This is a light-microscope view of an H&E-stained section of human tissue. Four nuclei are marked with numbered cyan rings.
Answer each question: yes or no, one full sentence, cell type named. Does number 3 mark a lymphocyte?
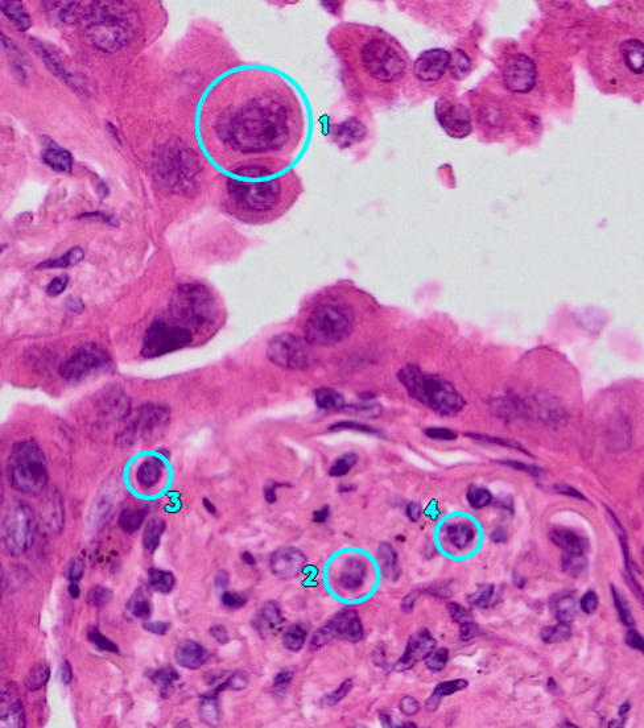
Yes, that one, number 3, is a lymphocyte.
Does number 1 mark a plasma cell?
No, cell number 1 is identified as a carcinoma cell, not as a plasma cell.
